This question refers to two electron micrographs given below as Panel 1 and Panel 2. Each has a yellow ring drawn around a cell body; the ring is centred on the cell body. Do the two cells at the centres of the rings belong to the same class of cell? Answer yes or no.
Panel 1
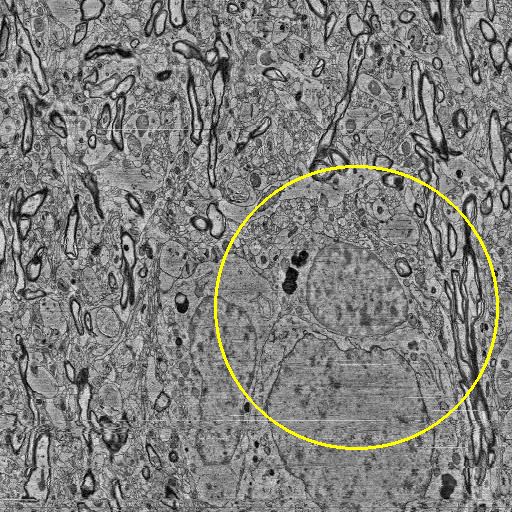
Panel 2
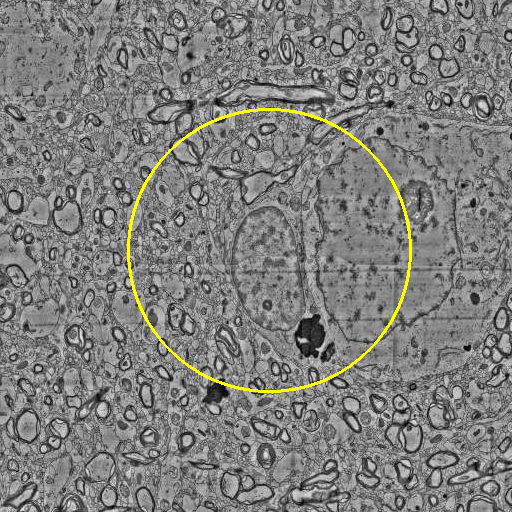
yes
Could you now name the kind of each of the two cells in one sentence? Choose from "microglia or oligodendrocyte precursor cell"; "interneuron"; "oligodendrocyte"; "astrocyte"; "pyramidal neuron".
In the first picture and in the second, the ring is centred on an oligodendrocyte.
